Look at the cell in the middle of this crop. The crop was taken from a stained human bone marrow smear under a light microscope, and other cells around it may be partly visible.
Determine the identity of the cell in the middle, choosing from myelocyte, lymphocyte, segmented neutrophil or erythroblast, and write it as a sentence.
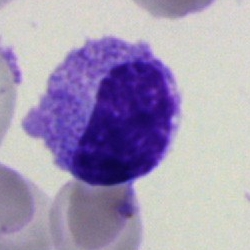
The crop's centre is taken up by a myelocyte.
